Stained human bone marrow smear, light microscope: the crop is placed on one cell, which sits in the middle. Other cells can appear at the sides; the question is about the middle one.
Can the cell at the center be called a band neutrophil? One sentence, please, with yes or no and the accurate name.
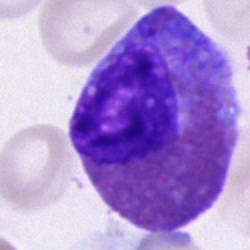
No, the central cell is reported as an eosinophil rather than as a band neutrophil.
